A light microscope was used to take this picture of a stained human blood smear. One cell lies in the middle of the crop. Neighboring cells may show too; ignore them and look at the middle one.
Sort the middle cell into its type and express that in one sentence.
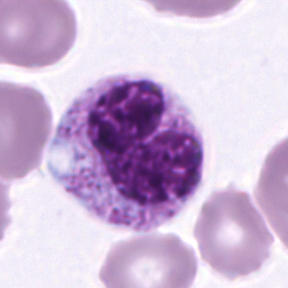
By classification, the middle cell of this crop is a band neutrophil.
